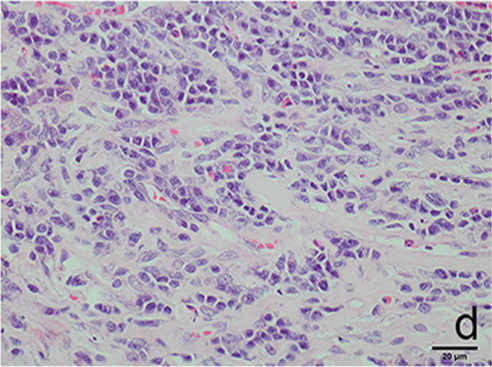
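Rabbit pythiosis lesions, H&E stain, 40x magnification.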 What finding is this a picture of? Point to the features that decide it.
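Dense sheets of small round cells with dark round nuclei. Many cells have eccentric nuclei and purple cytoplasm. The round cells crowd between strands of pale fibrous stroma.
Hence: prominent lymphoplasmacytic infiltrate.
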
